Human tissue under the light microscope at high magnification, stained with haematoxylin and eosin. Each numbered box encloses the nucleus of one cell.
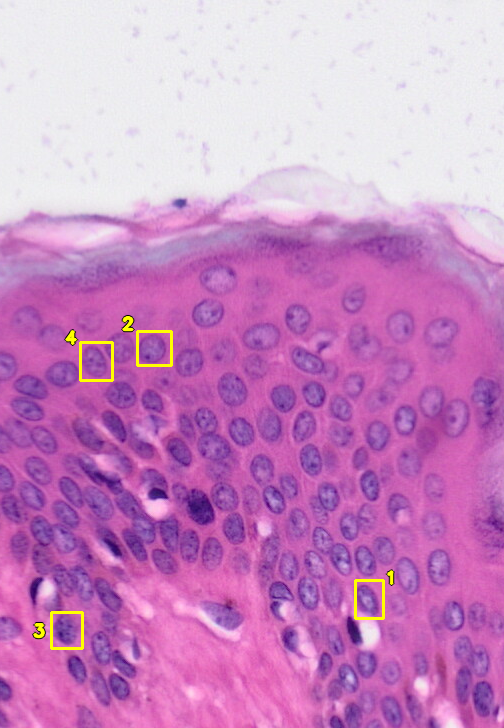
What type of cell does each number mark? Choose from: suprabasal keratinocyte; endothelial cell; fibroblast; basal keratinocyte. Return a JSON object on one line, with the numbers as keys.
{"1": "suprabasal keratinocyte", "2": "suprabasal keratinocyte", "3": "basal keratinocyte", "4": "suprabasal keratinocyte"}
